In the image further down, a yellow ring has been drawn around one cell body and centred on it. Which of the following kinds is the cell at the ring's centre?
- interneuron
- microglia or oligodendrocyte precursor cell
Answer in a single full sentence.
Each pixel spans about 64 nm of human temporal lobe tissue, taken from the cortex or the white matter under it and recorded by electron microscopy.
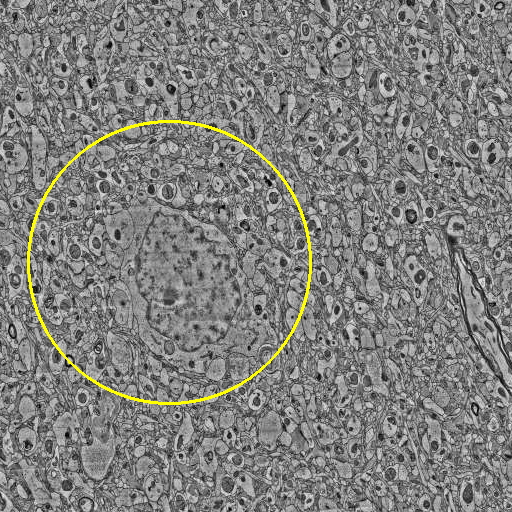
In the picture, the cell sitting at the centre of the yellow ring is an interneuron.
